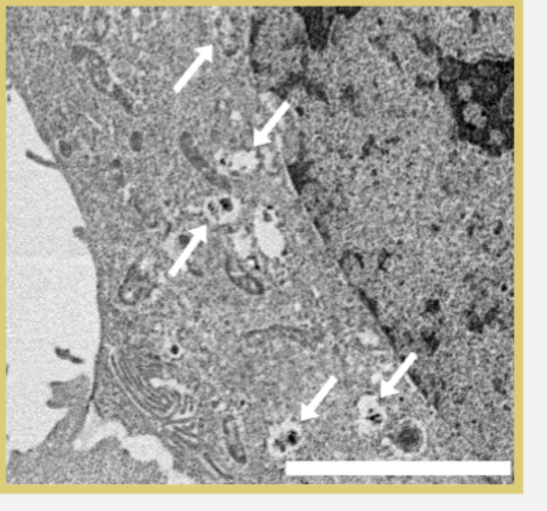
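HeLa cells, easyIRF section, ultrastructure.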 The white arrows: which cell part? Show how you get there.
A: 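Arrows point to small round membrane-bound bodies. The bodies hold dark dense granular content.
Answer: lysosomes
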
